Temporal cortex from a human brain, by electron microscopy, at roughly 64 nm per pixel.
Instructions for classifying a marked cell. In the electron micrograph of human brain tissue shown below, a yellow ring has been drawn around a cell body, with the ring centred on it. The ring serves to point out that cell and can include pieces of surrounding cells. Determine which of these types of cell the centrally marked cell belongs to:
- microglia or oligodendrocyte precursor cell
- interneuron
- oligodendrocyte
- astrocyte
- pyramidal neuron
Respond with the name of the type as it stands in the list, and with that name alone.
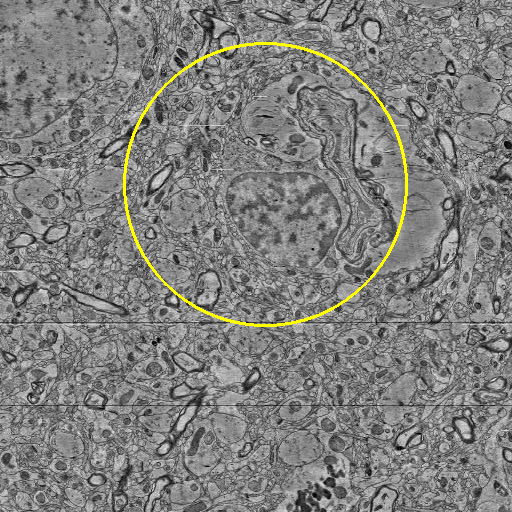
oligodendrocyte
